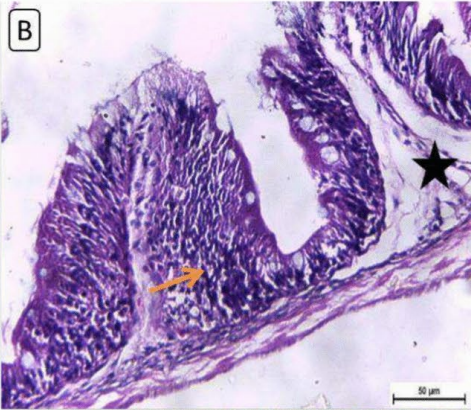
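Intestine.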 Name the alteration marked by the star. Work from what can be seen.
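Lamina proprial edema. The star lies in a pale, loosely textured area with sparse fibres. Widely separated strands with few cells between them.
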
